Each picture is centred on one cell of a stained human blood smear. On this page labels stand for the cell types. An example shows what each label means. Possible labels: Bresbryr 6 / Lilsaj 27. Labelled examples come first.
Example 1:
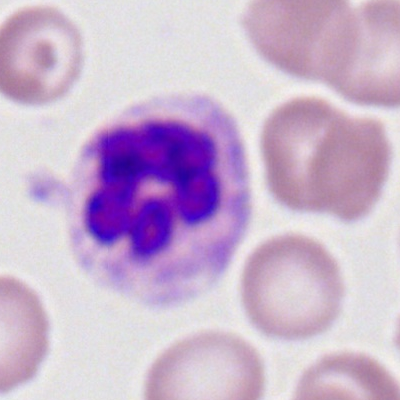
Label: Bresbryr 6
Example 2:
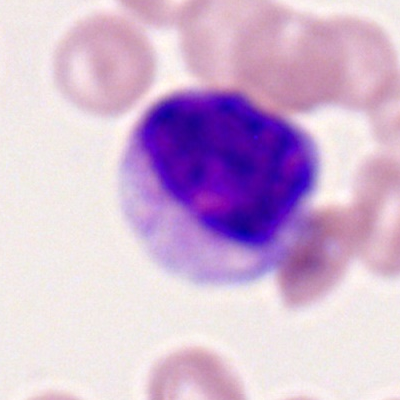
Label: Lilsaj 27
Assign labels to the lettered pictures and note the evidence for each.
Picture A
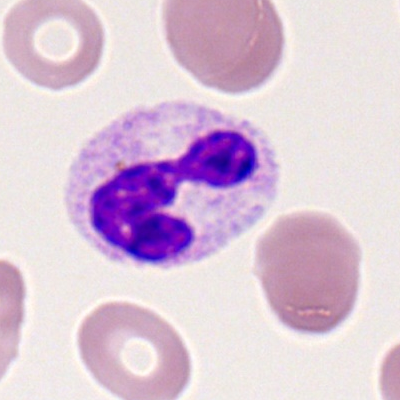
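Bresbryr 6. Reason: The smaller lobe of the nucleus lies toward the upper right of the cell.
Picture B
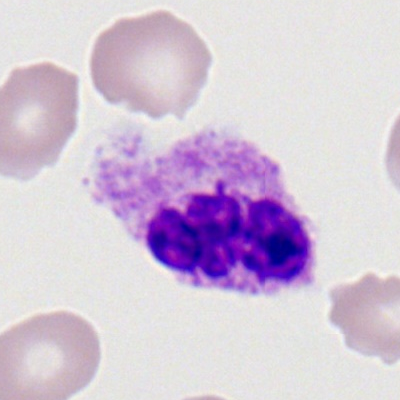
Bresbryr 6. Reason: The cytoplasm is plentiful and pale pinkish-lilac.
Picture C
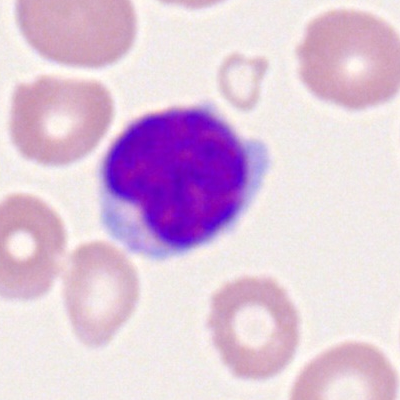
Lilsaj 27. Reason: The nucleus fills most of the cell.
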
